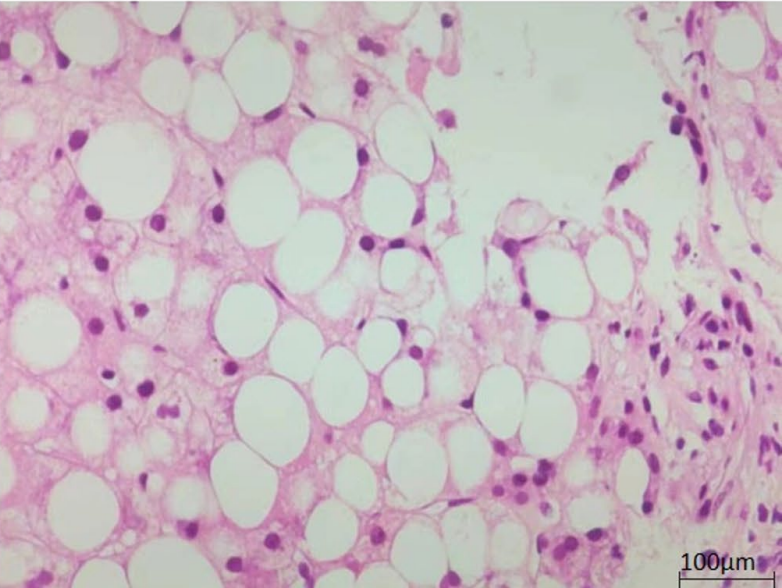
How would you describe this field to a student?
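This is liver tissue showing extensive steatosis. The cells are filled with round, clear, sharply outlined vacuoles, which are the empty spaces left by fat. The vacuoles vary widely in size, and many are large. The remaining cytoplasm is pale pink and finely foamy, and dark purple round nuclei sit between the vacuoles. Toward one side lies a more cellular band of elongated, spindle-shaped nuclei, with an empty space in the upper part of the field.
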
